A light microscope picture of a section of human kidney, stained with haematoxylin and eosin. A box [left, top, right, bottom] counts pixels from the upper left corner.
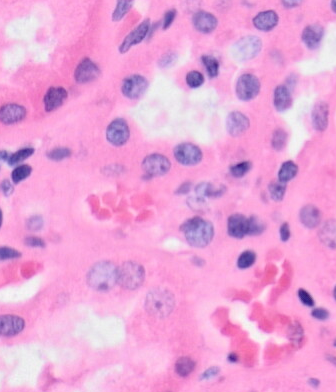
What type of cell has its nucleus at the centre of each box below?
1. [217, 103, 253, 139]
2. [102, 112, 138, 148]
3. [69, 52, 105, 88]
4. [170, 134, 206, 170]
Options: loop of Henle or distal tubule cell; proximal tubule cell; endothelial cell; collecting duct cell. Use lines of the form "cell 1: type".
cell 1: loop of Henle or distal tubule cell
cell 2: loop of Henle or distal tubule cell
cell 3: proximal tubule cell
cell 4: loop of Henle or distal tubule cell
